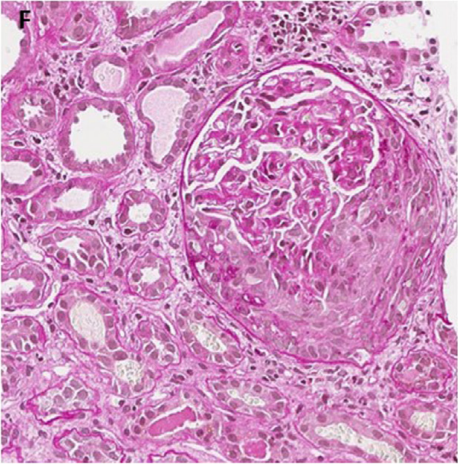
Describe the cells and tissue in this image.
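This is kidney tissue, with a single large glomerulus at the centre and right, surrounded by tubules cut in cross-section, all stained in shades of magenta and pink. Within the glomerulus, the capillary loops are outlined by thin magenta membranes, and beside the tuft a crescent-shaped mass of cells fills part of the space inside the capsule. The surrounding tubules have cuboidal lining cells with round nuclei, and several of their lumens are widened or hold pale pink material. Between the tubules, the interstitium contains scattered small nuclei.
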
